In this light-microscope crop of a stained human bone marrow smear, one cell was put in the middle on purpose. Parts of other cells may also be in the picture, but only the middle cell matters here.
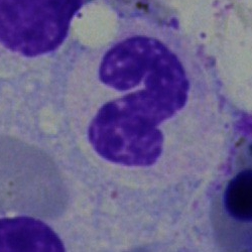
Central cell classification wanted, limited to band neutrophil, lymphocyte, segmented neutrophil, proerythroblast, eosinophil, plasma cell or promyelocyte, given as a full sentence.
Here the centrally located cell is a band neutrophil.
